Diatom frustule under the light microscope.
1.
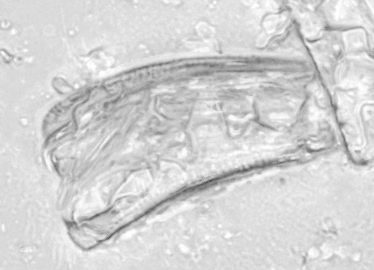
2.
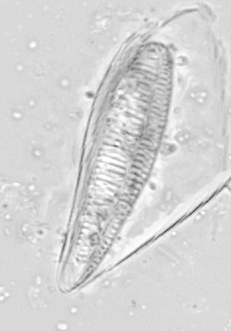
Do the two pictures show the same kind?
Yes, both are Rhoicosphenia.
